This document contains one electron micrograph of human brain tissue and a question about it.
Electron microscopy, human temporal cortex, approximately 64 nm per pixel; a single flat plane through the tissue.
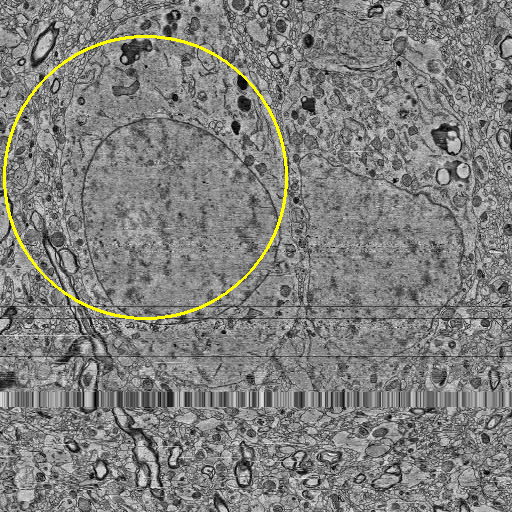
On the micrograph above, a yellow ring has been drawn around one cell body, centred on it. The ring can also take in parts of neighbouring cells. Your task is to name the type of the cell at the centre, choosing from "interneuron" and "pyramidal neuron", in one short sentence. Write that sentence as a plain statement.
Here the ring is centred on a pyramidal neuron.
